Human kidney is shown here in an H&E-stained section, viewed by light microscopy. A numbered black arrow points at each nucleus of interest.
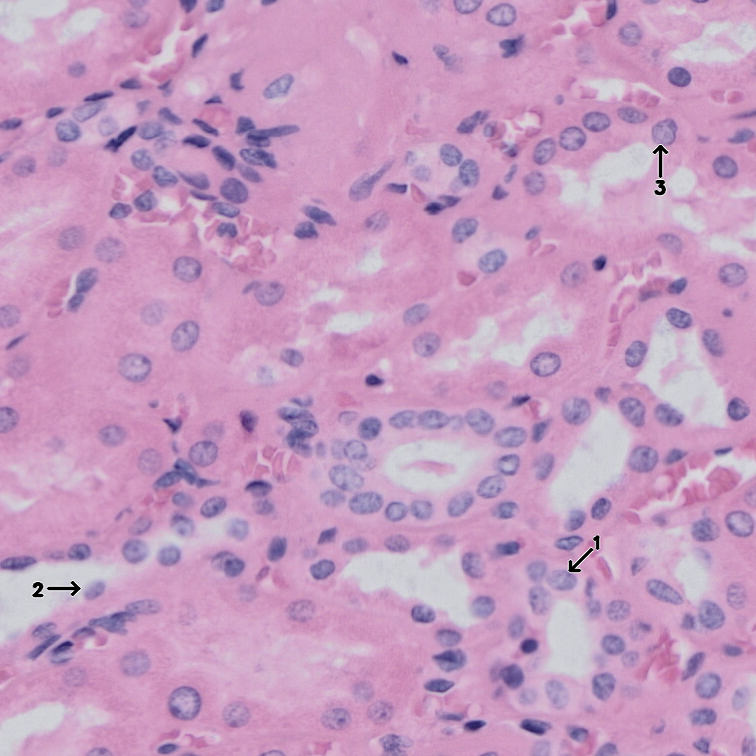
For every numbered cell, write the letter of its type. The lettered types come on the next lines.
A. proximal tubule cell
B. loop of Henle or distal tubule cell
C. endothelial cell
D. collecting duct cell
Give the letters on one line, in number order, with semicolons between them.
D; B; A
